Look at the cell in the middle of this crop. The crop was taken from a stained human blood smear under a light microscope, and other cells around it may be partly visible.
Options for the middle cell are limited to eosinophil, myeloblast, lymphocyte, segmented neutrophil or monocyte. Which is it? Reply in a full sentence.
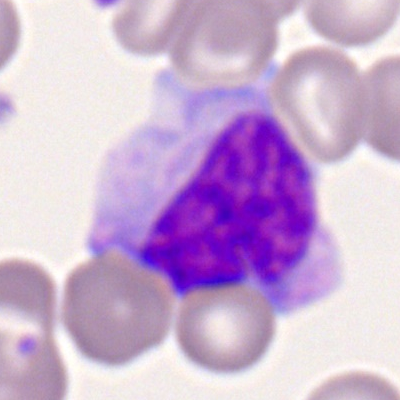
For this crop, the cell in the middle is a monocyte.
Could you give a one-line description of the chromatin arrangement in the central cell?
Chromatin in the nucleus here is coarsely clumped.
